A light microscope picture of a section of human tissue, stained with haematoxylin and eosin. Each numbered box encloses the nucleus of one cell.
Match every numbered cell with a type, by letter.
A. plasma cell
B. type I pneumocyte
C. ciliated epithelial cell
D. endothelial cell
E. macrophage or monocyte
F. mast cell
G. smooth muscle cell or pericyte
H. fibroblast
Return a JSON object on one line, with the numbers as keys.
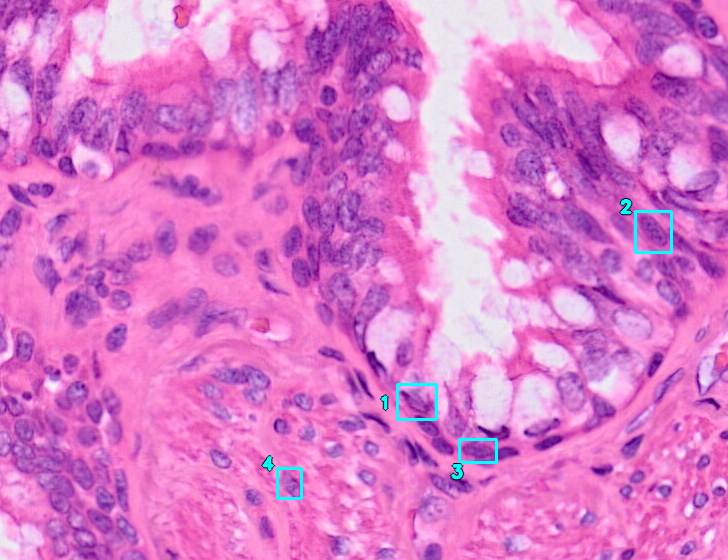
{"1": "C", "2": "C", "3": "C", "4": "G"}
